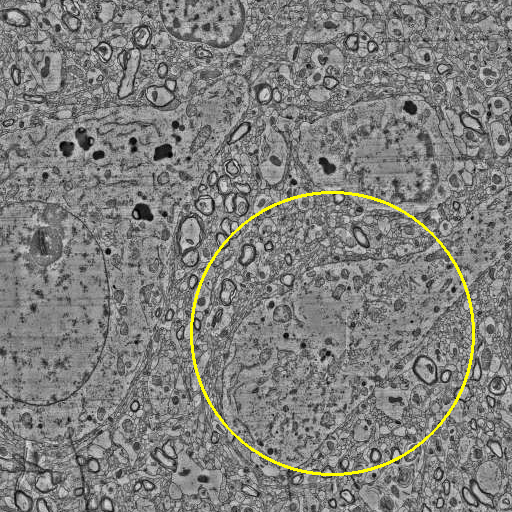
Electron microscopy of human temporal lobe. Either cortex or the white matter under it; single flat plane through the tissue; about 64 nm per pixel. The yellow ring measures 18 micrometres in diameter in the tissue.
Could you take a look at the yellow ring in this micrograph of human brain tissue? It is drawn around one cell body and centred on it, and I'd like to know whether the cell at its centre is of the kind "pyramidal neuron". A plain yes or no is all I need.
yes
